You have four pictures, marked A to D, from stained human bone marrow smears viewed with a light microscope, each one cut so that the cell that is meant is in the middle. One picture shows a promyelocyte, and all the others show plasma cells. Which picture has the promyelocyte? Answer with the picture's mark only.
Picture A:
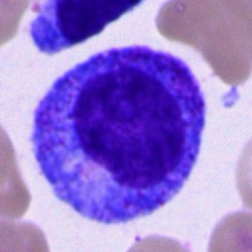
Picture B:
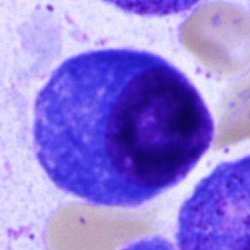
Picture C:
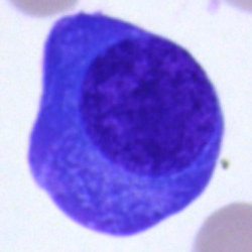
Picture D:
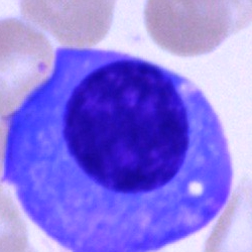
A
